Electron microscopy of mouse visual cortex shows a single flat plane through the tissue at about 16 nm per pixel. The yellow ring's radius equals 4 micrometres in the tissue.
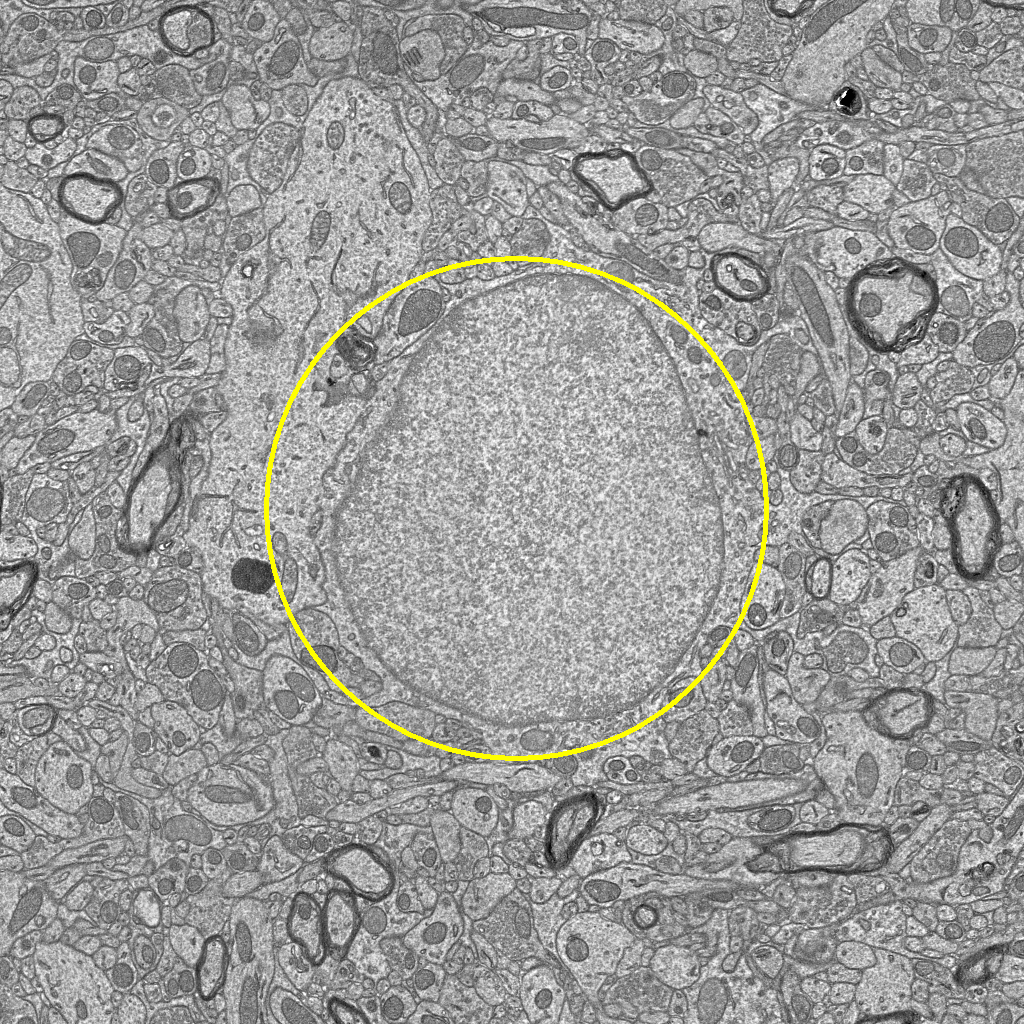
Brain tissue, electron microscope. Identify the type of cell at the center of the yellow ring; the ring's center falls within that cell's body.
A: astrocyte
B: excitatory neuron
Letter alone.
A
